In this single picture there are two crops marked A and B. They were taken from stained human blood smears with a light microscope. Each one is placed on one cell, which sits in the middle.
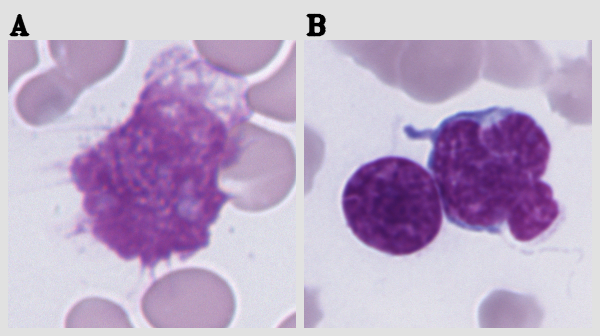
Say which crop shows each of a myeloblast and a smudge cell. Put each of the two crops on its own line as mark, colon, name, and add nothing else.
A: smudge cell
B: myeloblast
